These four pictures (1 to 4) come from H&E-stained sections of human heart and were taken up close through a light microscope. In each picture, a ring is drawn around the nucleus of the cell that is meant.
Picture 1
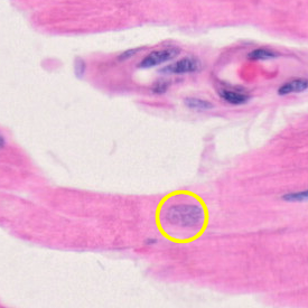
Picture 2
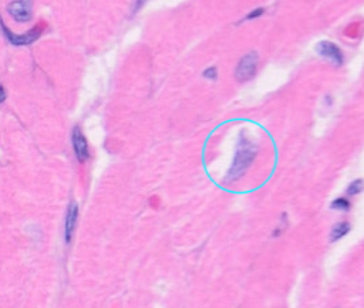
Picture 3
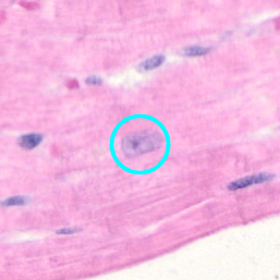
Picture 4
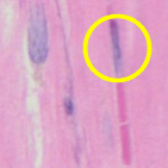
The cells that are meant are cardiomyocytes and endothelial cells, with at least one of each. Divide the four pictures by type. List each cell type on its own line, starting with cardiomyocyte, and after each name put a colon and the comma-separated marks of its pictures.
cardiomyocyte: 1, 2, 3
endothelial cell: 4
